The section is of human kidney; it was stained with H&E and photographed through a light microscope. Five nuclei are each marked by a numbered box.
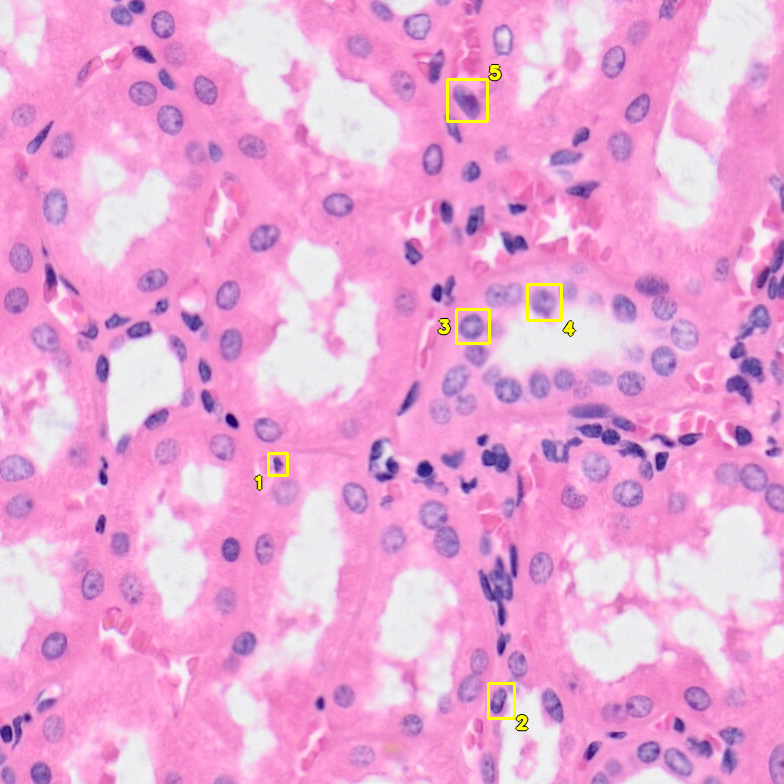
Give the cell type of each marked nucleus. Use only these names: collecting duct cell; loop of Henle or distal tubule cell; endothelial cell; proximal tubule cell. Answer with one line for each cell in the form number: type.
1: endothelial cell
2: loop of Henle or distal tubule cell
3: collecting duct cell
4: collecting duct cell
5: endothelial cell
